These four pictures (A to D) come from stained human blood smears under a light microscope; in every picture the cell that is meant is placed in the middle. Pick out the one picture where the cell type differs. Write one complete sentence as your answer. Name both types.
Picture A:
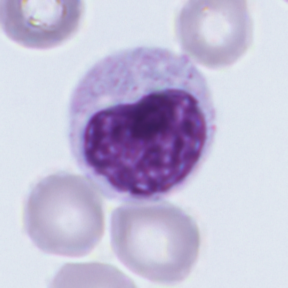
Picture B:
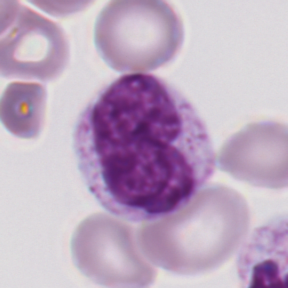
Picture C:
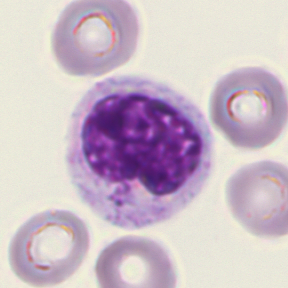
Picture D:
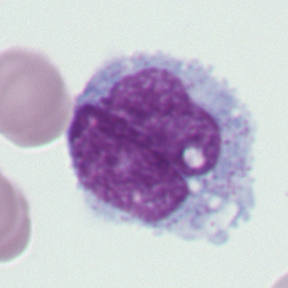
All pictures except D show metamyelocytes; picture D shows a monocyte.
